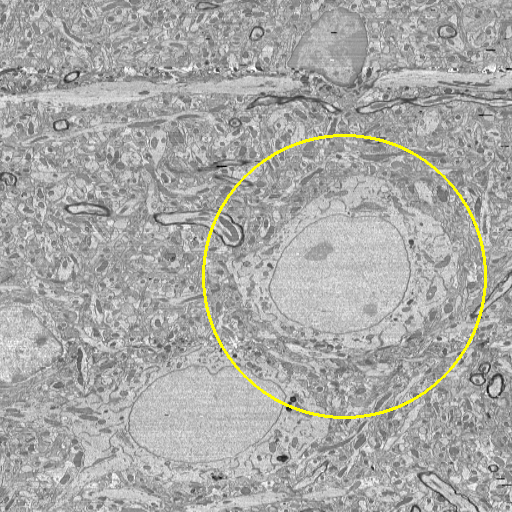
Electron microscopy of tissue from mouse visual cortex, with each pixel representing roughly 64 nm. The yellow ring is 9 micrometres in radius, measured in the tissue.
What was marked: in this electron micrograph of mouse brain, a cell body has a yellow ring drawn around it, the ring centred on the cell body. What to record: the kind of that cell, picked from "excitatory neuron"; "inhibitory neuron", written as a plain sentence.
The centred cell is an excitatory neuron.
